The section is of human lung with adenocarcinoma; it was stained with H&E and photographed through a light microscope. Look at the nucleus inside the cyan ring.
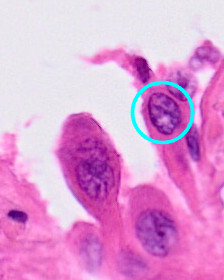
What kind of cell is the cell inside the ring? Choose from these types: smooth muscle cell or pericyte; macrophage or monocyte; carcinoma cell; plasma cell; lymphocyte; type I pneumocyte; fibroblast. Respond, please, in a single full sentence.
In this section of tissue, the cell inside the ring is a carcinoma cell.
